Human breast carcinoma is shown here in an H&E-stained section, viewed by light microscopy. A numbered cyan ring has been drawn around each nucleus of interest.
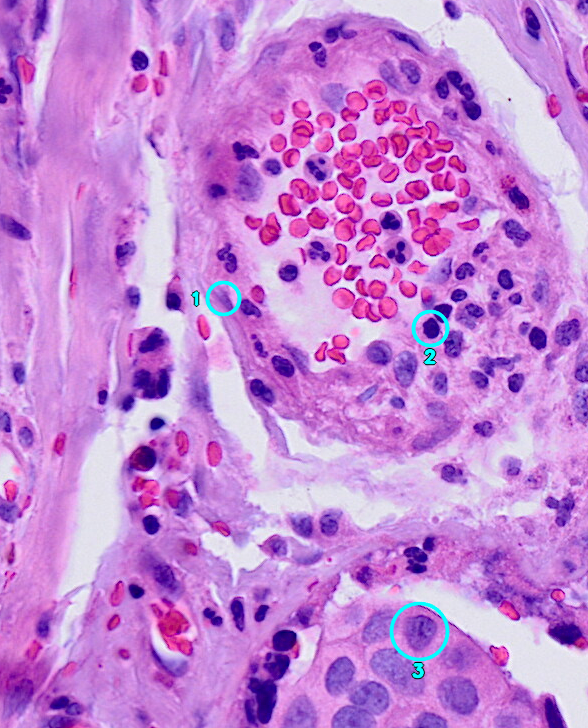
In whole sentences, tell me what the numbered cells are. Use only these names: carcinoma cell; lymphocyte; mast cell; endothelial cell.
Cell 1 is an endothelial cell, cell 2 is a lymphocyte and cell 3 is a carcinoma cell.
